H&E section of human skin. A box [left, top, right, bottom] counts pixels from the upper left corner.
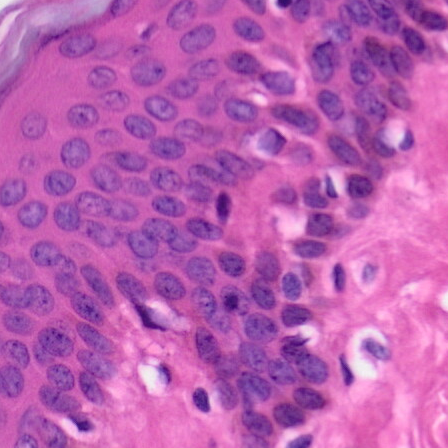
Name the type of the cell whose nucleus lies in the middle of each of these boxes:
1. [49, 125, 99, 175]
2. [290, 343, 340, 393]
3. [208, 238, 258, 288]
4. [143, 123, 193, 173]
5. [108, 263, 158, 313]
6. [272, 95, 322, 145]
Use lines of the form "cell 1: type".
cell 1: suprabasal keratinocyte
cell 2: basal keratinocyte
cell 3: basal keratinocyte
cell 4: suprabasal keratinocyte
cell 5: basal keratinocyte
cell 6: basal keratinocyte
